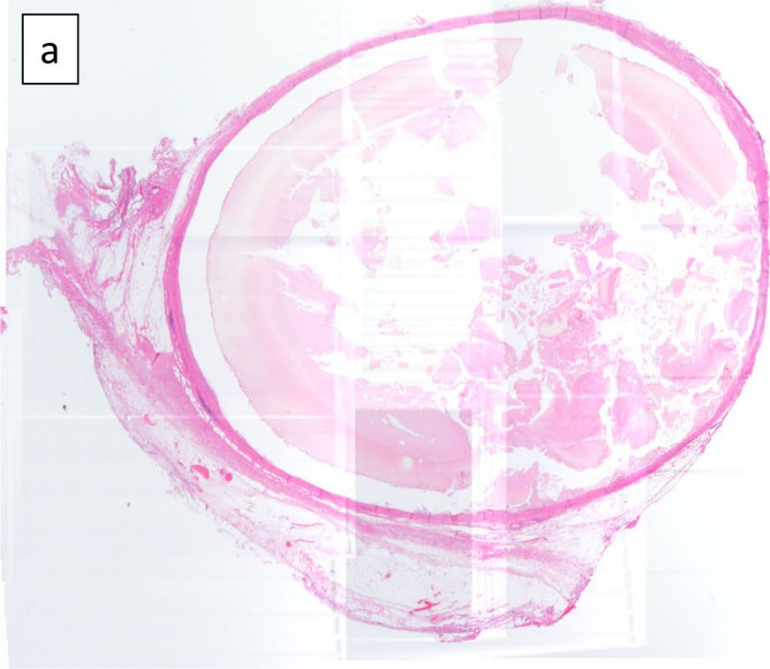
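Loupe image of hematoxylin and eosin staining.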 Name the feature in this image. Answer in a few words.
Cystic structures with fibrous walls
